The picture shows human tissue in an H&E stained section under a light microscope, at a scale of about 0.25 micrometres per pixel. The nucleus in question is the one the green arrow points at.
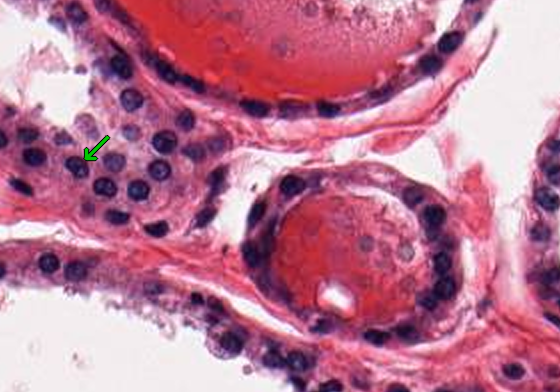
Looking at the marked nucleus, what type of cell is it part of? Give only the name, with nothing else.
thyroid follicular cell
